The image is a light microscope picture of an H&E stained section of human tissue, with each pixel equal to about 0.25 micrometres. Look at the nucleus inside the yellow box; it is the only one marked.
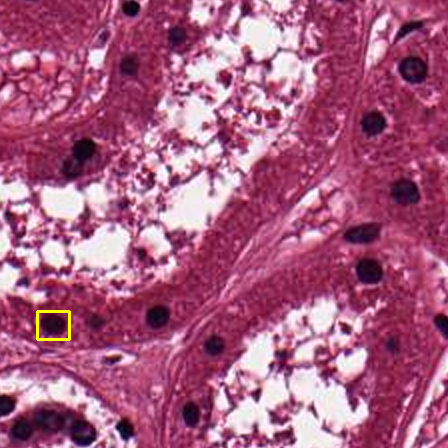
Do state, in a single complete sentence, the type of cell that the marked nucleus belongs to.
In this section, the marked nucleus is that of a proximal tubule cell.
